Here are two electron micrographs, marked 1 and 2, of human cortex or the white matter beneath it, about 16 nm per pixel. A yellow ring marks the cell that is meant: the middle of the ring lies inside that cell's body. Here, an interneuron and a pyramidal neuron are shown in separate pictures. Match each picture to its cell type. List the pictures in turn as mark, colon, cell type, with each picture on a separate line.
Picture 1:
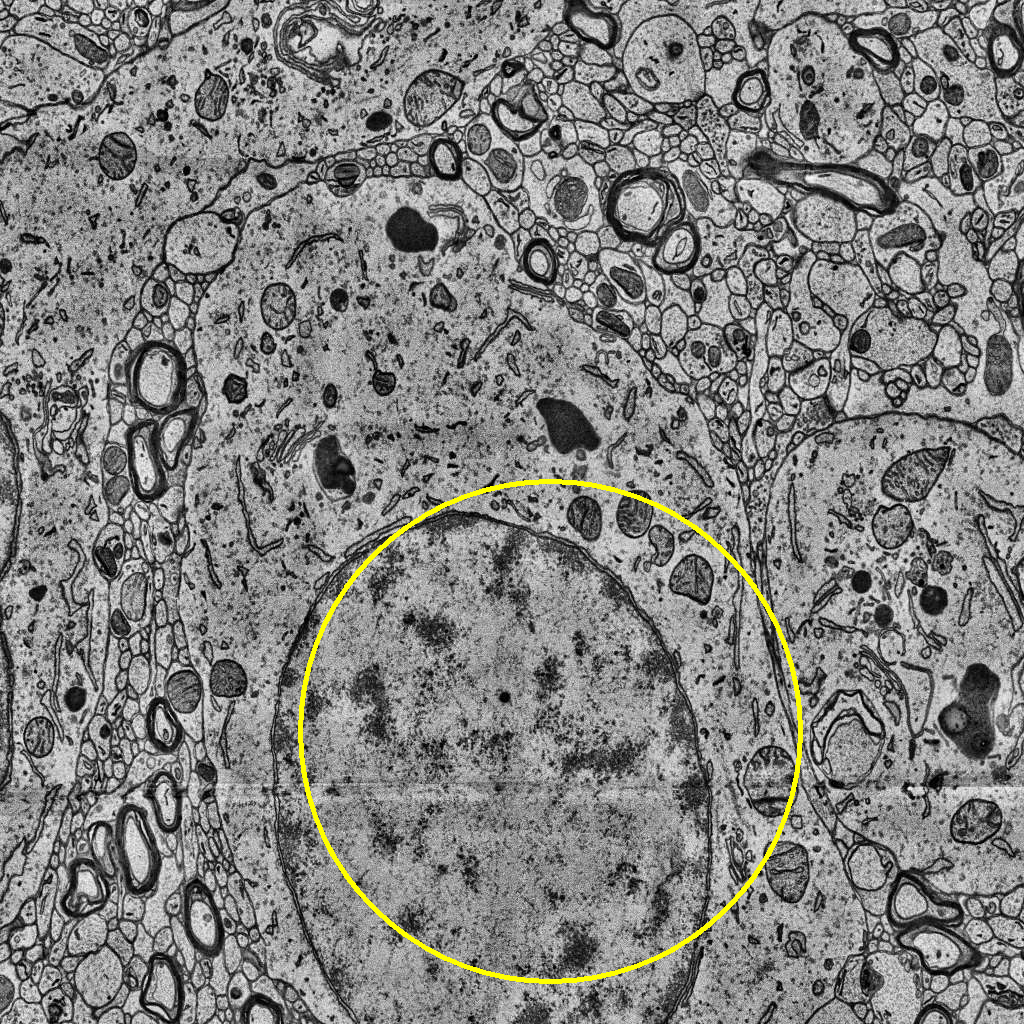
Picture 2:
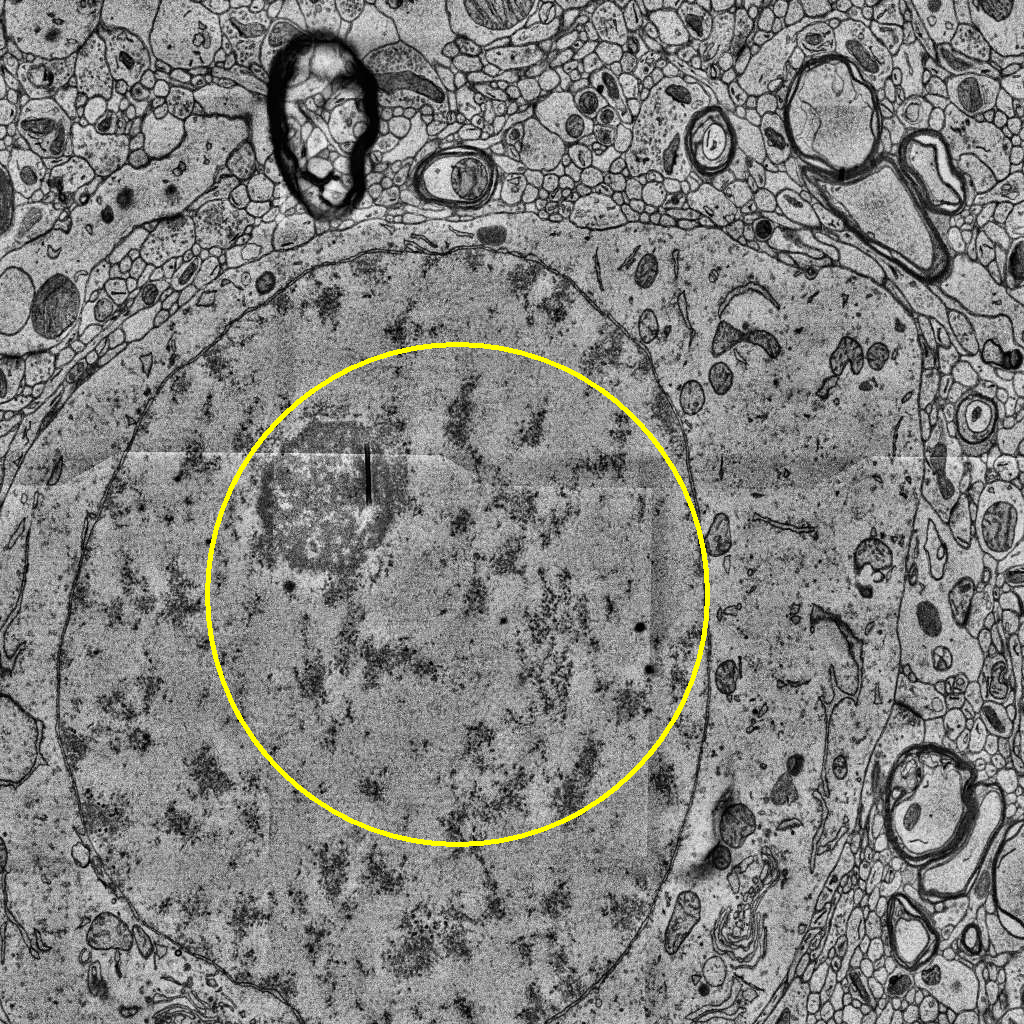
1: interneuron
2: pyramidal neuron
